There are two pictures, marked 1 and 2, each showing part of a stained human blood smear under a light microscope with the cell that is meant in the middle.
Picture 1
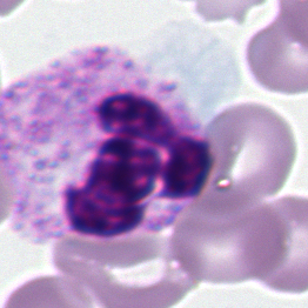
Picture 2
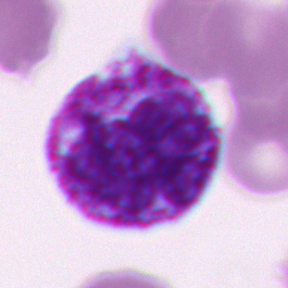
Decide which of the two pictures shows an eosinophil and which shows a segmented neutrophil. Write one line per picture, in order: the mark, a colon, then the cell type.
1: segmented neutrophil
2: eosinophil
